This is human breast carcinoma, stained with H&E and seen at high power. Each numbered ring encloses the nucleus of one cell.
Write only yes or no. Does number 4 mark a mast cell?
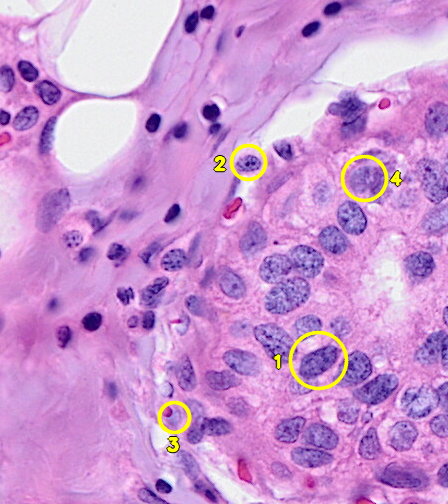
no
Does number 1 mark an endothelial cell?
no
